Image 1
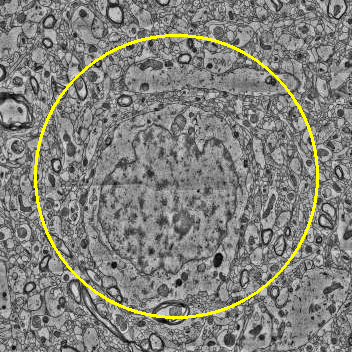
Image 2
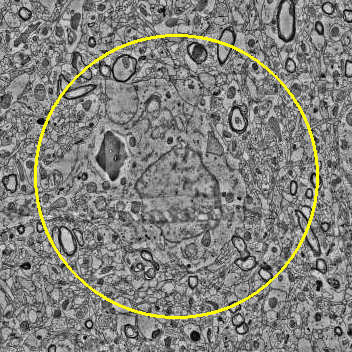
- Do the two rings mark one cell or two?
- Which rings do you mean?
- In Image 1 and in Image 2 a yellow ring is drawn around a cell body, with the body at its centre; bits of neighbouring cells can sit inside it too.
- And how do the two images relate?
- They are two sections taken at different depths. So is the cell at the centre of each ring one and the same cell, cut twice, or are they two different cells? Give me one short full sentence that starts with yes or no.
No, two distinct cells are each enclosed by a yellow ring.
